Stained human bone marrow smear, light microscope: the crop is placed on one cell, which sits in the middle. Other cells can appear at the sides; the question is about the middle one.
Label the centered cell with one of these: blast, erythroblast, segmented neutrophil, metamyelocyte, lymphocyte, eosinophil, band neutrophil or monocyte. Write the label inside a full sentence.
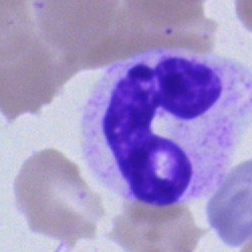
Positioned in the middle of the crop is a band neutrophil.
